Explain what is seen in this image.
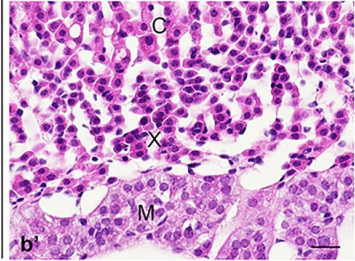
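Adrenal cortex above with cords of polygonal cells having pink cytoplasm and round nuclei; beneath them a band of smaller, densely packed cells with darker, more purple cytoplasm and crowded nuclei. At the bottom lie larger, paler pinkish-purple medullary cells in clusters separated by vascular spaces.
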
